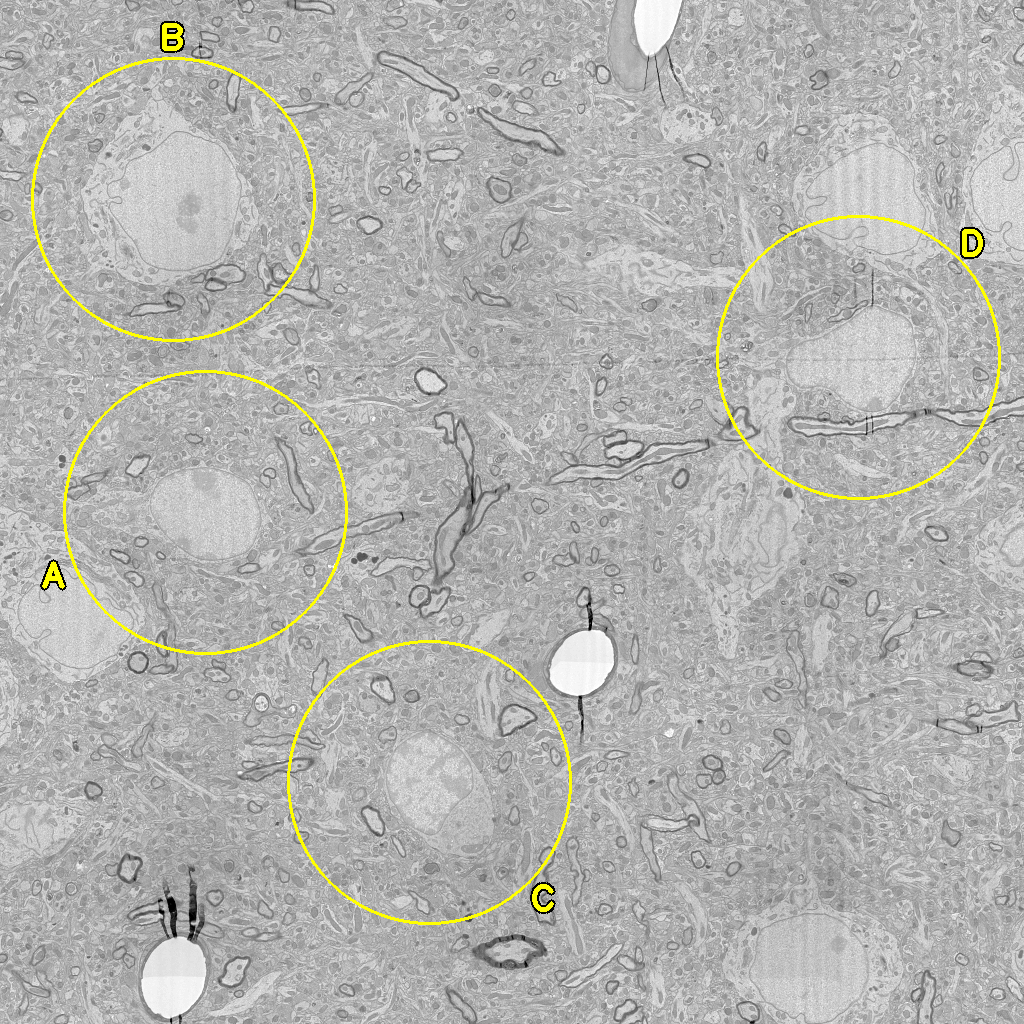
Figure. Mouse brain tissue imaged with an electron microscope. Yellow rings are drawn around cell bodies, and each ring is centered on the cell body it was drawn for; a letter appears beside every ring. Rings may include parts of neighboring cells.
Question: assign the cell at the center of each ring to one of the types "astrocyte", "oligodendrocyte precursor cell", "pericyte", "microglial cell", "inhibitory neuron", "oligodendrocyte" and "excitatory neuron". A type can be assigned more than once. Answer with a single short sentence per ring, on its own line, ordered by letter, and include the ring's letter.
Centered in ring A is an astrocyte.
Centered in ring B is an excitatory neuron.
Centered in ring C is an oligodendrocyte.
Centered in ring D is an astrocyte.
